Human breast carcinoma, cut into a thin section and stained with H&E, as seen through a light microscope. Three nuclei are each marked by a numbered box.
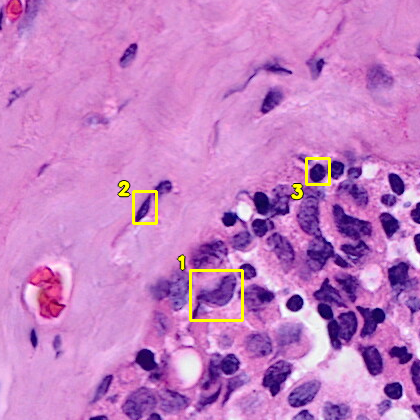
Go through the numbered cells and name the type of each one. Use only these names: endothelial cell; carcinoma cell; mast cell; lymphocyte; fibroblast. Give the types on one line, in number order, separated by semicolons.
carcinoma cell; fibroblast; lymphocyte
